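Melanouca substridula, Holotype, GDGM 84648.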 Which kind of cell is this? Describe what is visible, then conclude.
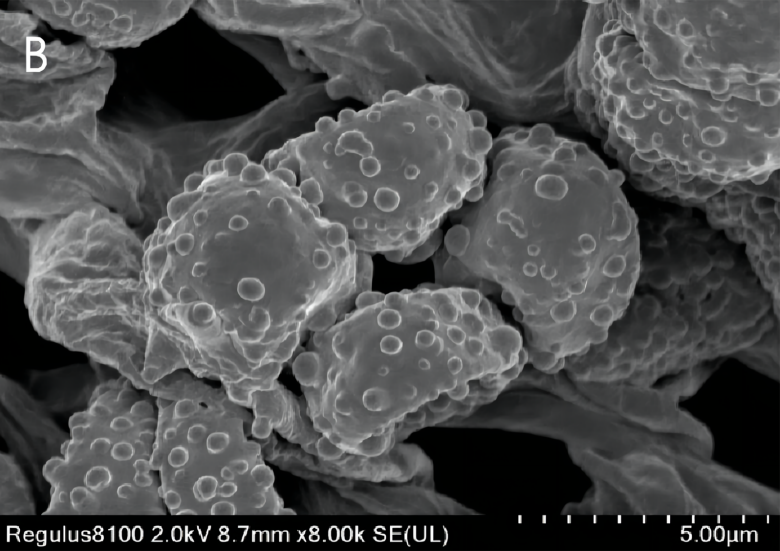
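Several rounded to broadly ellipsoid bodies a few micrometres across lie clustered together. Their surfaces carry many small rounded warts or bumps. Smooth collapsed hyphal tissue lies around and behind them.
Conclusion: basidiospores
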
